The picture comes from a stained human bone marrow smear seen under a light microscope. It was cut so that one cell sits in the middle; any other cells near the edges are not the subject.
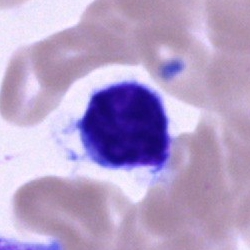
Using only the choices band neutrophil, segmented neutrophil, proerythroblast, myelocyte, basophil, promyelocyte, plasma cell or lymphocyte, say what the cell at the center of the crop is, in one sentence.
The cell of interest, in the center, is a lymphocyte.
